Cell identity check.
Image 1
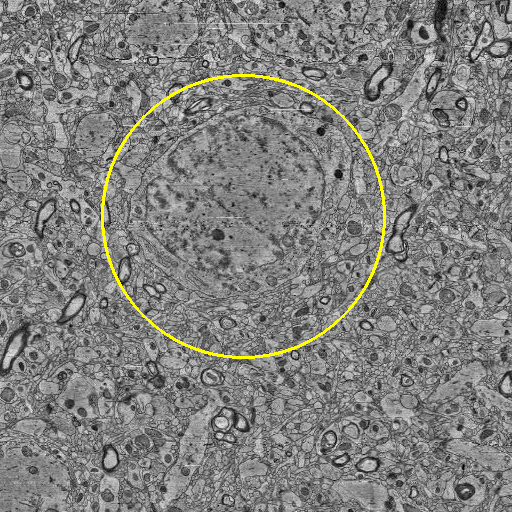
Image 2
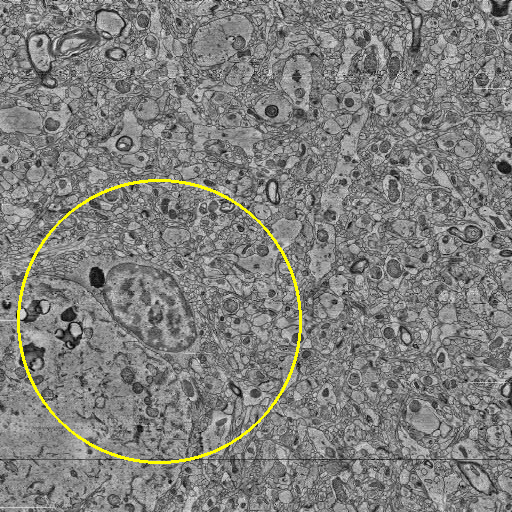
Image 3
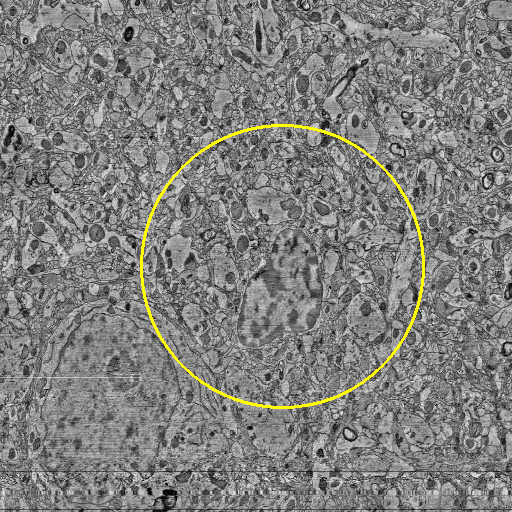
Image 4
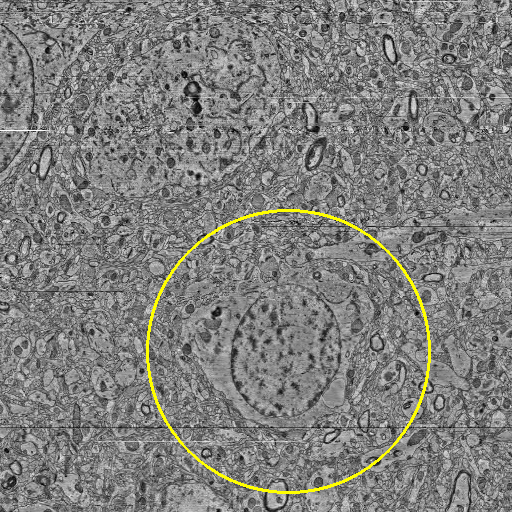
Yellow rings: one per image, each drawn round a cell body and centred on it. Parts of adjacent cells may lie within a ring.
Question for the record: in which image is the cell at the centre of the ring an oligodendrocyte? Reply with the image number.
2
